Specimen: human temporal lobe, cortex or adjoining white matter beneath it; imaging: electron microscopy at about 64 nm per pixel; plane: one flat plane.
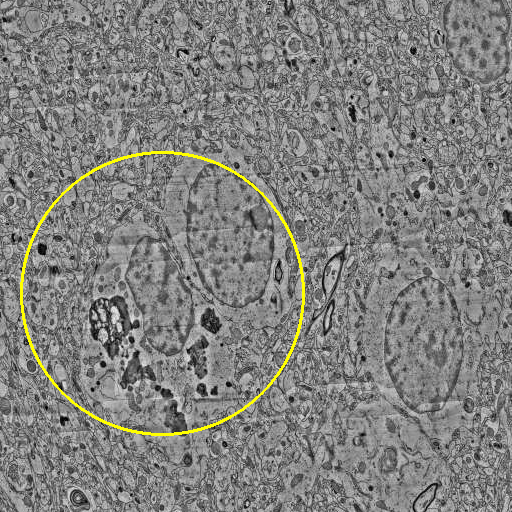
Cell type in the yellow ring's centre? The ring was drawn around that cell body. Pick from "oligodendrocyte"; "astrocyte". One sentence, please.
The ringed cell body is that of an astrocyte.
